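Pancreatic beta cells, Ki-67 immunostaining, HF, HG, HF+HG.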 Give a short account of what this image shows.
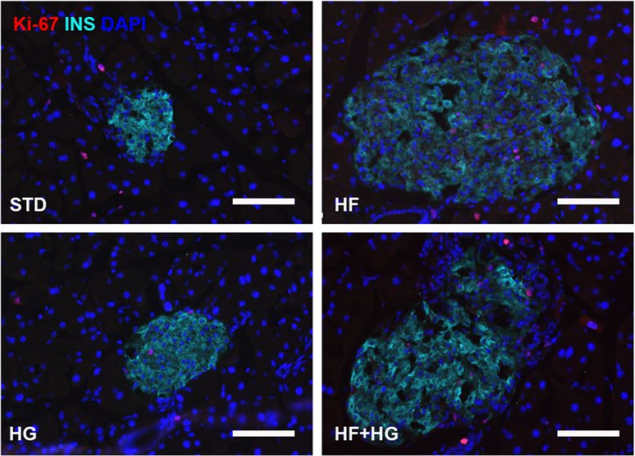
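The islets in the right-hand pair of images are far larger than those on the left. Only a few scattered nuclei are red.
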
